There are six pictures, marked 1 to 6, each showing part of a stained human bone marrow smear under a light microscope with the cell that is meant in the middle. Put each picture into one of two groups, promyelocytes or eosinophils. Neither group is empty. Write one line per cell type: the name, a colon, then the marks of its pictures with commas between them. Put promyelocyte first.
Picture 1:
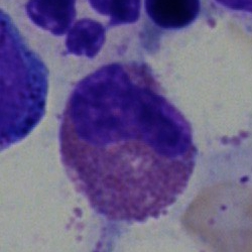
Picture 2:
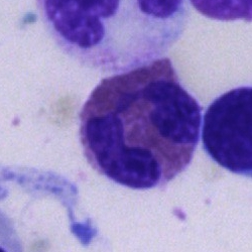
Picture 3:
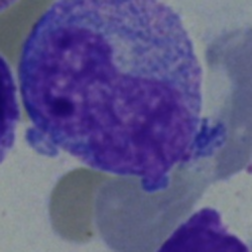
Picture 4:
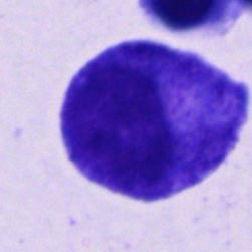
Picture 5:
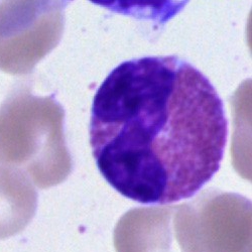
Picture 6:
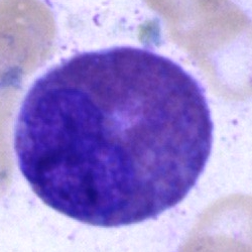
promyelocyte: 3, 4
eosinophil: 1, 2, 5, 6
